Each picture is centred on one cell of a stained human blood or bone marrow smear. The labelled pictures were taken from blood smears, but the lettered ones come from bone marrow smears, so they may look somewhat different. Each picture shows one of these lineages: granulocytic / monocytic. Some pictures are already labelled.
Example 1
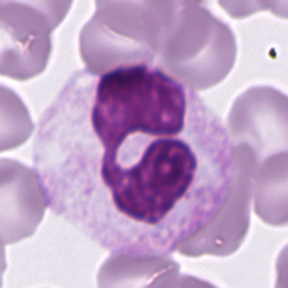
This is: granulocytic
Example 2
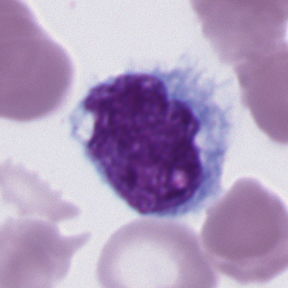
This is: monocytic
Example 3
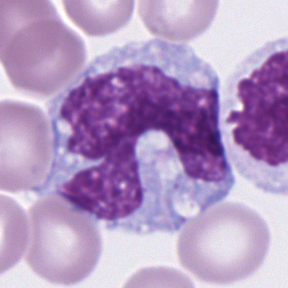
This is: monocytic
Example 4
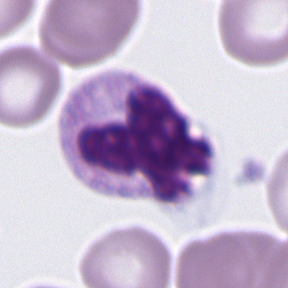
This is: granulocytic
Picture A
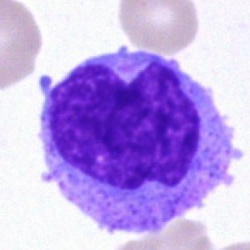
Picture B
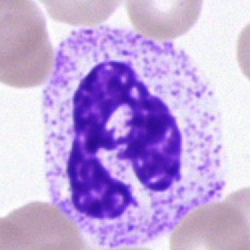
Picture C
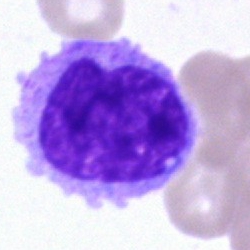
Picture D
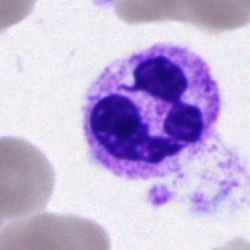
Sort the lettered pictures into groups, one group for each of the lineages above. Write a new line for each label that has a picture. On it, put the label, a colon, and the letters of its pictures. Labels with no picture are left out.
granulocytic: B, D
monocytic: A, C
